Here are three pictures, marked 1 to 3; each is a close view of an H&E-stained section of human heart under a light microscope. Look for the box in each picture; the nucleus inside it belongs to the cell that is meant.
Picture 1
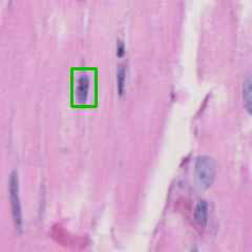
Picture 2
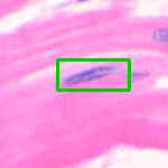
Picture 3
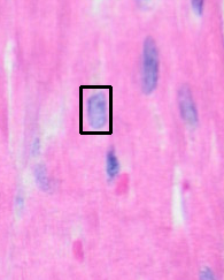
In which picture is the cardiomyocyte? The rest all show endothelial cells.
3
